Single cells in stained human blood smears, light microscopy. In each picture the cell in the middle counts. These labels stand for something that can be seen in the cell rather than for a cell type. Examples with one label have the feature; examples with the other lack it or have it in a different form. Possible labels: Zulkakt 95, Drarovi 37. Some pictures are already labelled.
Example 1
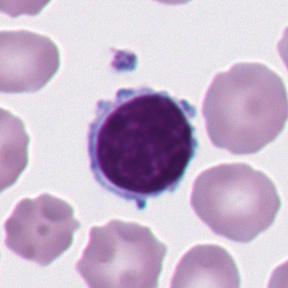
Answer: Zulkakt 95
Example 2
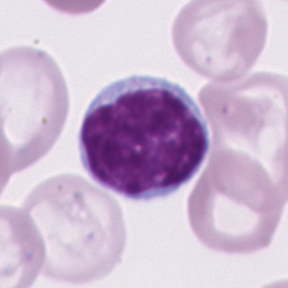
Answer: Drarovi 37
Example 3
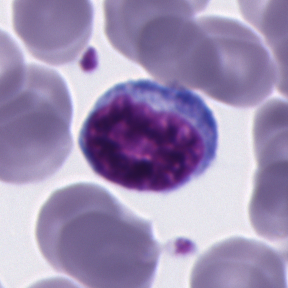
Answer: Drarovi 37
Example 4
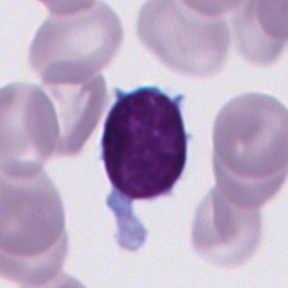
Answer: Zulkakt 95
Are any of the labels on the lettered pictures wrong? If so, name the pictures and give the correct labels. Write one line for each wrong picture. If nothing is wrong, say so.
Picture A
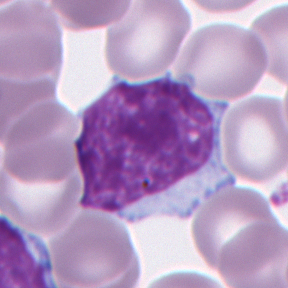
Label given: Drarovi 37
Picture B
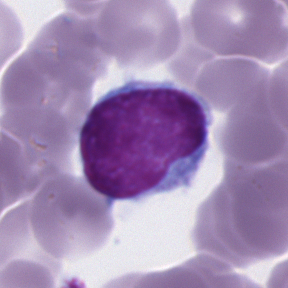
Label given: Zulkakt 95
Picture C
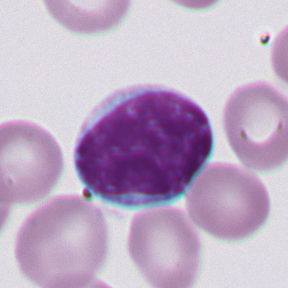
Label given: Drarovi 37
A: not Drarovi 37 but Zulkakt 95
